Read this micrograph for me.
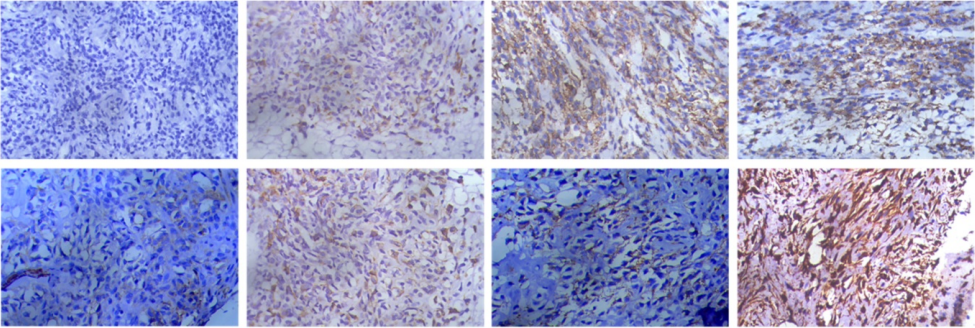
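Eight fields of densely cellular tissue show spindle-shaped and plump cells with blue-counterstained nuclei. The left column has little or no brown stain, while the other fields show brown staining of the cytoplasm and cell borders, strongest in the lower right field, where elongated spindle cells are packed closely together.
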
